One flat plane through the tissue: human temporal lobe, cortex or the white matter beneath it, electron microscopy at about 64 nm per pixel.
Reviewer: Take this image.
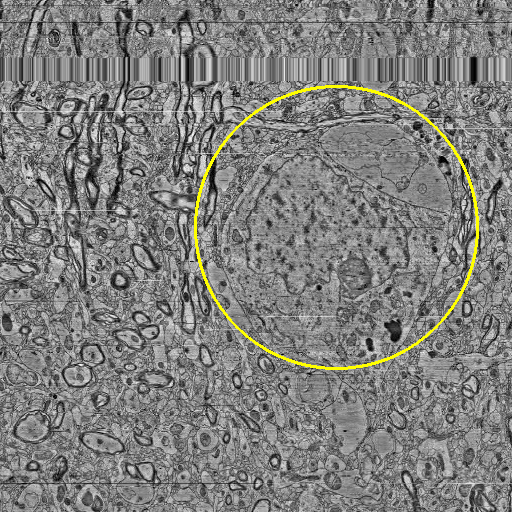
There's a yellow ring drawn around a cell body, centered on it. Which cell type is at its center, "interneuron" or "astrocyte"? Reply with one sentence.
At the center of the yellow ring is an interneuron.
